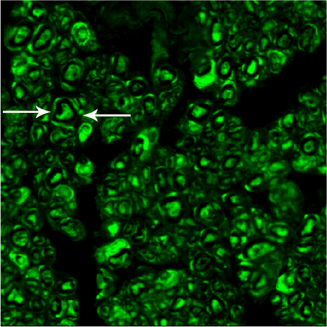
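A cross-sectioned peripheral nerve is filled with closely packed green rings, each a bright rim around a dark or dimmer round core, grouped into bundles separated by dark clefts. The rings vary somewhat in size and some are crescent-shaped or thickened on one side.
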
